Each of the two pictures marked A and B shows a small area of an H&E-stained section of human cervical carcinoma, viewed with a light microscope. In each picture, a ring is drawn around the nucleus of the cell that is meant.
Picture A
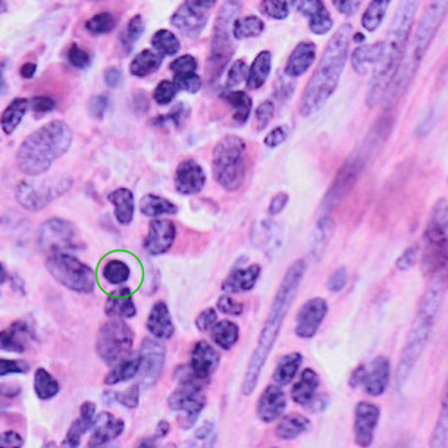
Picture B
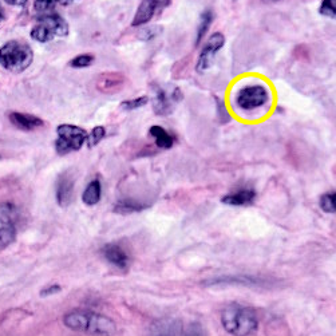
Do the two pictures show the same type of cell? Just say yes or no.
yes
